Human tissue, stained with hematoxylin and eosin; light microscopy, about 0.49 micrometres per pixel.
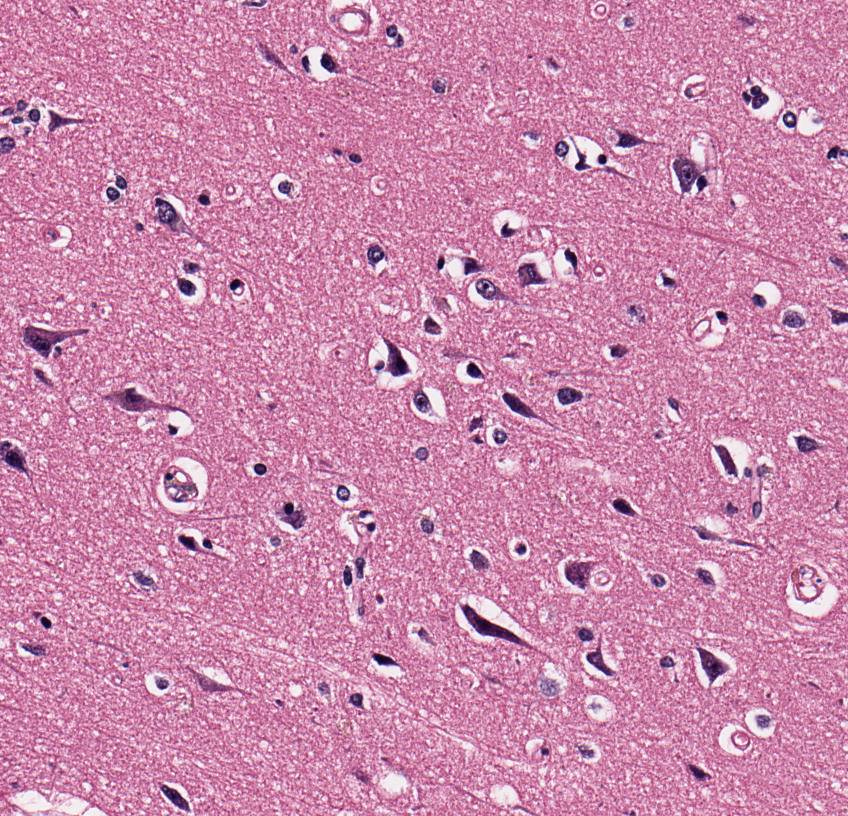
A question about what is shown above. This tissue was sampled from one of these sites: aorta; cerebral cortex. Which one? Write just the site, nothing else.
cerebral cortex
